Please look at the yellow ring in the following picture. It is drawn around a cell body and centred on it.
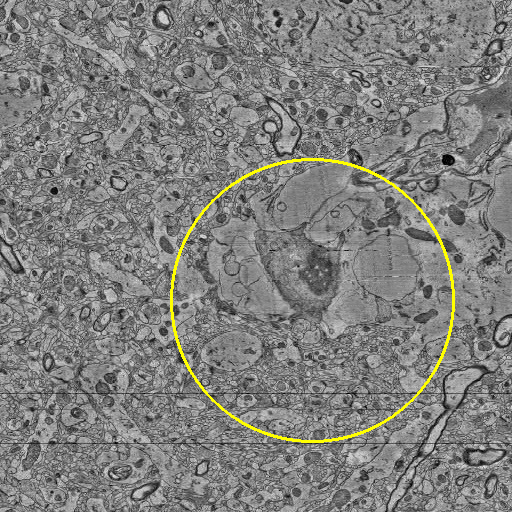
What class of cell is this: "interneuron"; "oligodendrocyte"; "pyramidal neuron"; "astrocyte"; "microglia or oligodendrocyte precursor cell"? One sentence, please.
The ring surrounds the cell body of an oligodendrocyte.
